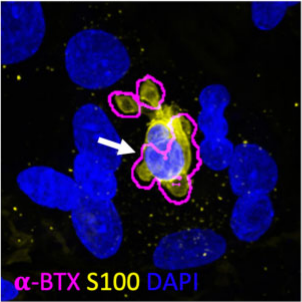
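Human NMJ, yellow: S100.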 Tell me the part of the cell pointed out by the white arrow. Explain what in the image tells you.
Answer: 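The arrow points to an oval blue body. The blue body is wrapped in yellow cytoplasm.
Answer: nuclei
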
